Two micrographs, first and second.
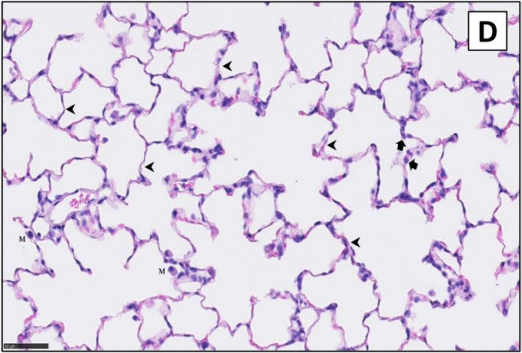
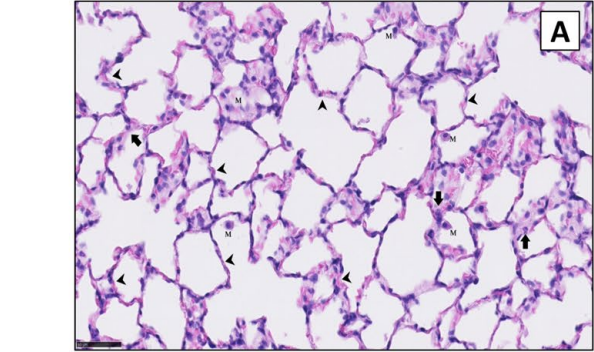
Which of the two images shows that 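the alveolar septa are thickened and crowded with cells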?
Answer: The second image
